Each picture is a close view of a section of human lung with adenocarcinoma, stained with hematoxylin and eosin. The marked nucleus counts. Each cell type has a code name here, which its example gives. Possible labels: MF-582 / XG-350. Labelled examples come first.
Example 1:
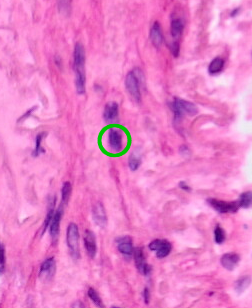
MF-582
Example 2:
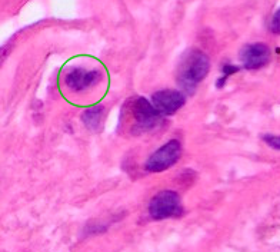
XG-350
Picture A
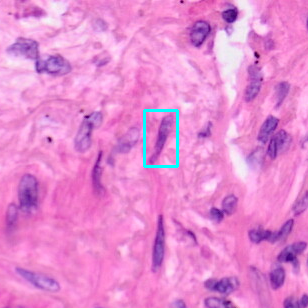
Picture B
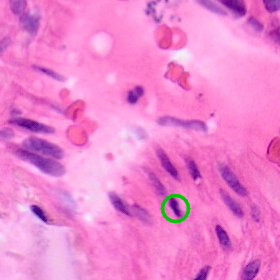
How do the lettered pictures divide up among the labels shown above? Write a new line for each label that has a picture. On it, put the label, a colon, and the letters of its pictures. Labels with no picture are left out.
MF-582: A, B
